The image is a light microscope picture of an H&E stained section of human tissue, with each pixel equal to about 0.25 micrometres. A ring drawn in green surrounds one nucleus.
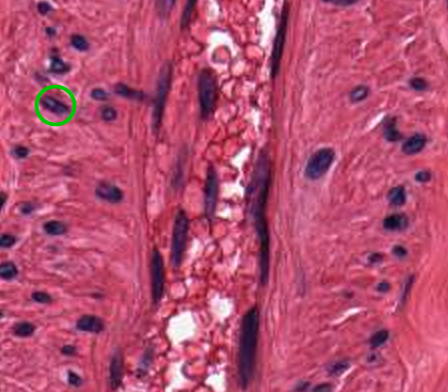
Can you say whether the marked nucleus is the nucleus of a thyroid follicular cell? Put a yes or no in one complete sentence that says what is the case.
No, a thyroid follicular cell is not the owner of the marked nucleus.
